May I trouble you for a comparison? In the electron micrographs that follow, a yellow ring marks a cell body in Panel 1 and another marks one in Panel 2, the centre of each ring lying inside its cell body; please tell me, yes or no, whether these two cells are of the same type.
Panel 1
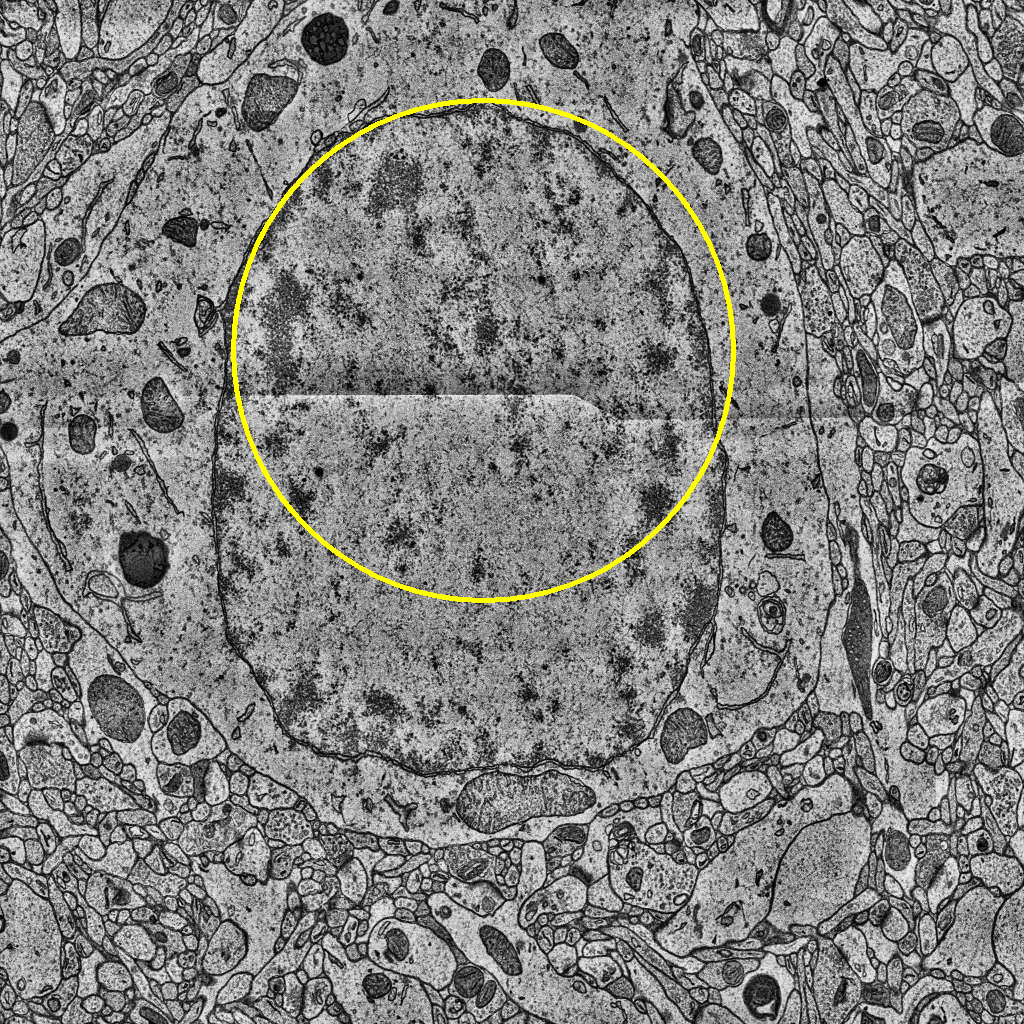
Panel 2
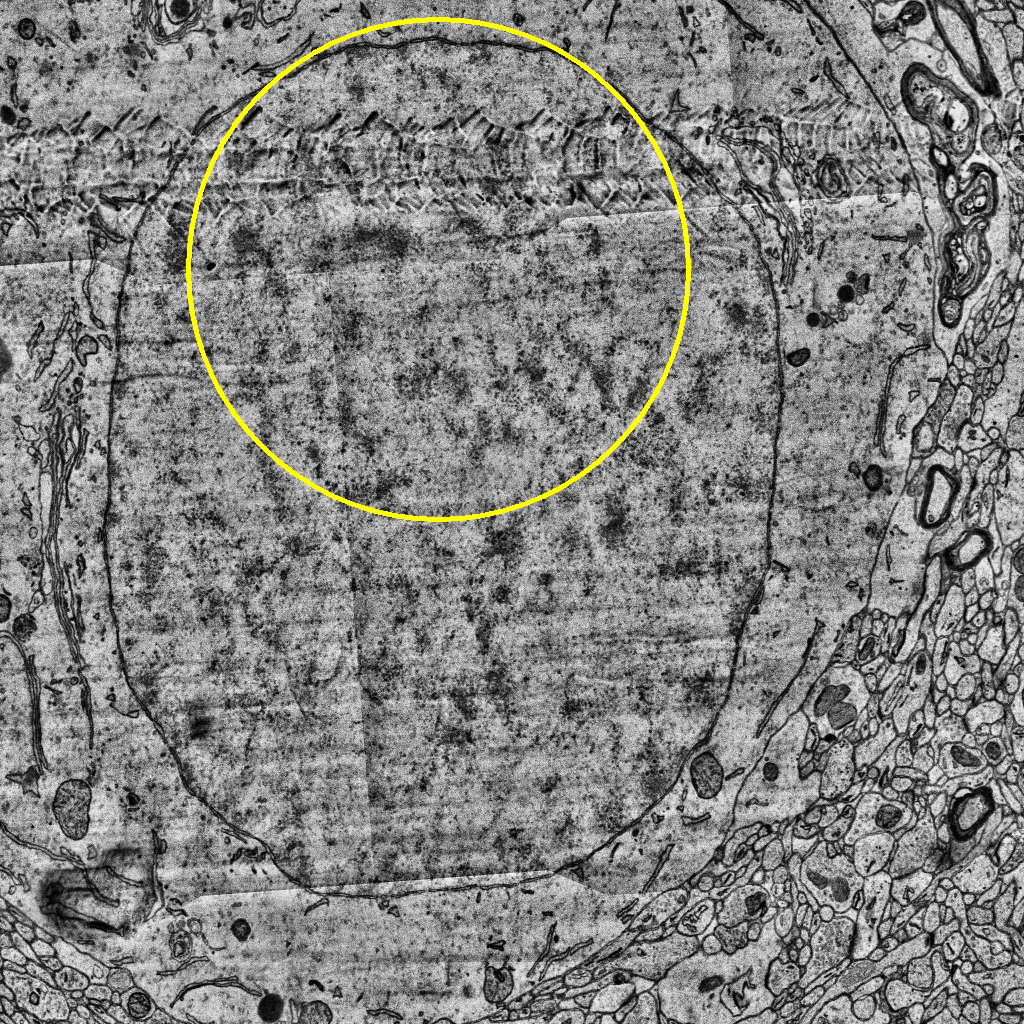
yes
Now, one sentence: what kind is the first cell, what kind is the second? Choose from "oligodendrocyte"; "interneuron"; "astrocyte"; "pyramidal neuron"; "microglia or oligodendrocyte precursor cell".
The second cell is a pyramidal neuron, just as the first is.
